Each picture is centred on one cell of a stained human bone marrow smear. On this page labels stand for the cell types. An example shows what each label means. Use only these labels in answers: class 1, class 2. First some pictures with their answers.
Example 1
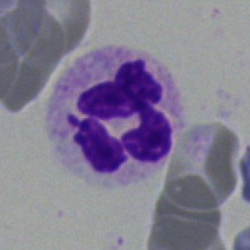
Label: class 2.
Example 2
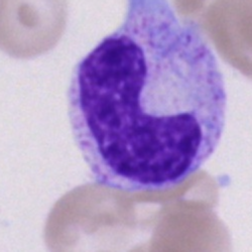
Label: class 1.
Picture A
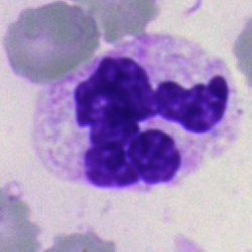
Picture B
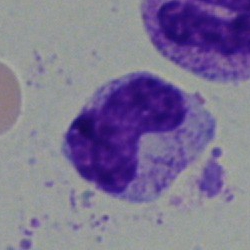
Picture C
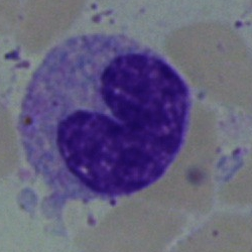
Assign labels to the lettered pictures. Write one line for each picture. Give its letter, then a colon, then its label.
A: class 2.
B: class 1.
C: class 1.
